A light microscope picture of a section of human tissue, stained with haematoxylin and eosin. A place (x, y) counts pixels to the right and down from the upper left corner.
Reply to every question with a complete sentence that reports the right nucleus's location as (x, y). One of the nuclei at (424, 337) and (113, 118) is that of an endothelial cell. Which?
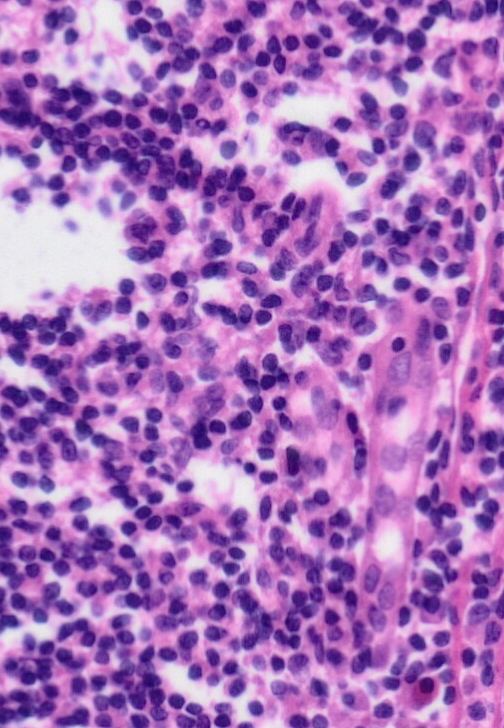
The nucleus at (424, 337) is assigned to an endothelial cell.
